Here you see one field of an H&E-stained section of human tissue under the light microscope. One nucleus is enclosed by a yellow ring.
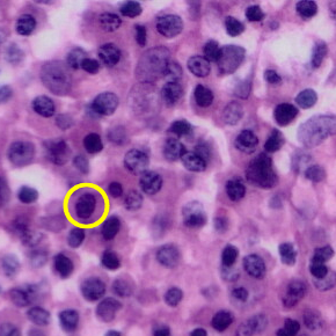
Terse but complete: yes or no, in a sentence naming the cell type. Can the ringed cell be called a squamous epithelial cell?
No, the ringed cell is not a squamous epithelial cell, being instead a plasma cell.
